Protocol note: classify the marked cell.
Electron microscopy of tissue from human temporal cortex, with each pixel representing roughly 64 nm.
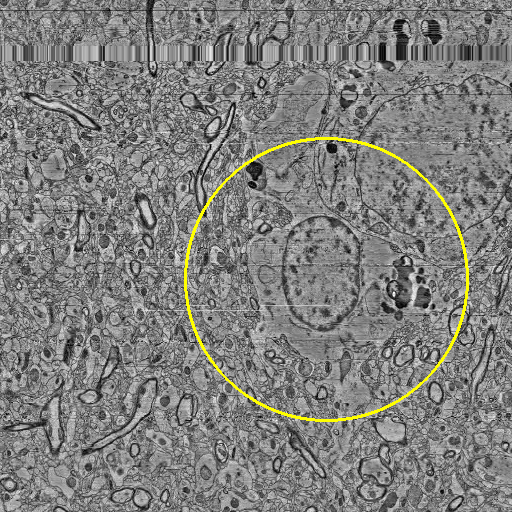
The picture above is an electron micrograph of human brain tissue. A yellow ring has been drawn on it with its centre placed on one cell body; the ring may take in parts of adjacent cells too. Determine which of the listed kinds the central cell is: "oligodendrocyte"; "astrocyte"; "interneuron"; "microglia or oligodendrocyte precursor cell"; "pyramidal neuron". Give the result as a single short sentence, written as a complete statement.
The central cell is an astrocyte.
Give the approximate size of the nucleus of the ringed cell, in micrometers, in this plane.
In this plane the nucleus is about 7 micrometres by 5.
